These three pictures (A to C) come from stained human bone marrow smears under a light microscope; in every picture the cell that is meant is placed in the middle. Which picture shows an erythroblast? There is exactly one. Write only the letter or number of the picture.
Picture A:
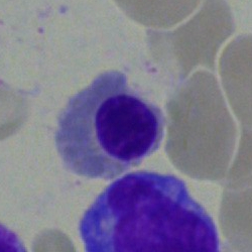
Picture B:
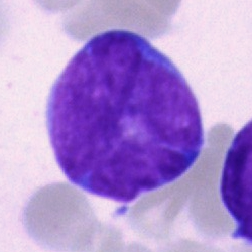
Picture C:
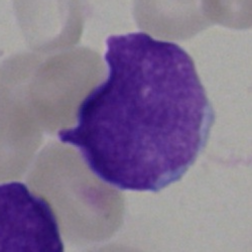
A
